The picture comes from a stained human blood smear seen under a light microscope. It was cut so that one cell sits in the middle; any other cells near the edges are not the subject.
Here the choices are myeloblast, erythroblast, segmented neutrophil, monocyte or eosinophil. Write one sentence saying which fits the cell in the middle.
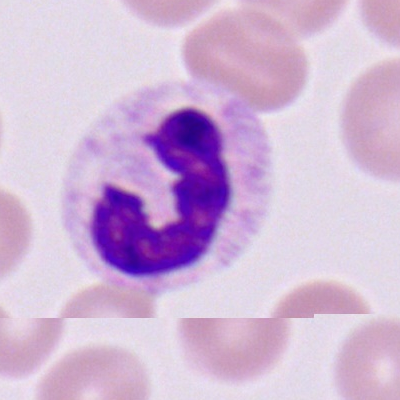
What the crop centres on is a segmented neutrophil.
